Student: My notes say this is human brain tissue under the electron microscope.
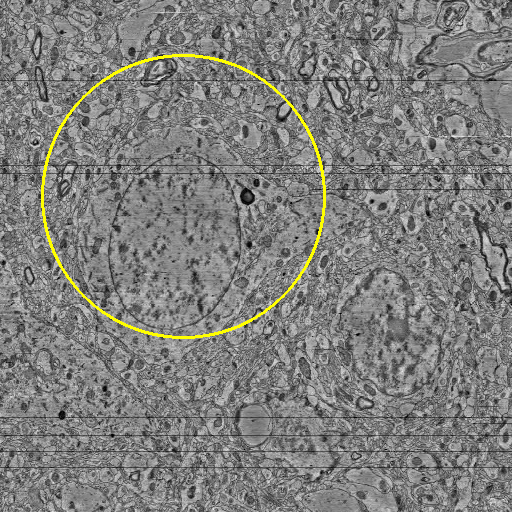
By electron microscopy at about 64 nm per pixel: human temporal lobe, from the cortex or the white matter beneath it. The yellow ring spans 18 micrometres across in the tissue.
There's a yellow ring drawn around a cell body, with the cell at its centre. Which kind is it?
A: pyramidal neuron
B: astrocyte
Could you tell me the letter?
A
